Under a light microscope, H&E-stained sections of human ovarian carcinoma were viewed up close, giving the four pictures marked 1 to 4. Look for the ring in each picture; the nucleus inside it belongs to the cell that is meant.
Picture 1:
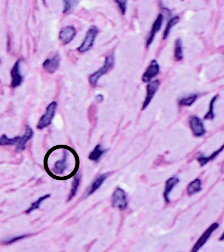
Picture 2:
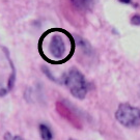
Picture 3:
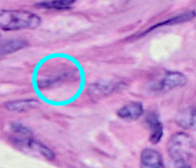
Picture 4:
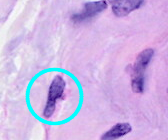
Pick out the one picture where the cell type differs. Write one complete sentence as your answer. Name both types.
Picture 2 differs, because its cell is a lymphocyte and the rest are fibroblasts.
